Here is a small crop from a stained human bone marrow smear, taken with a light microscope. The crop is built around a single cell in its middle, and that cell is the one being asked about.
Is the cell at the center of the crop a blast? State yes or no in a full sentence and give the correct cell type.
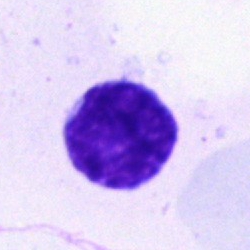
No, the central cell is designated a lymphocyte and not a blast.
